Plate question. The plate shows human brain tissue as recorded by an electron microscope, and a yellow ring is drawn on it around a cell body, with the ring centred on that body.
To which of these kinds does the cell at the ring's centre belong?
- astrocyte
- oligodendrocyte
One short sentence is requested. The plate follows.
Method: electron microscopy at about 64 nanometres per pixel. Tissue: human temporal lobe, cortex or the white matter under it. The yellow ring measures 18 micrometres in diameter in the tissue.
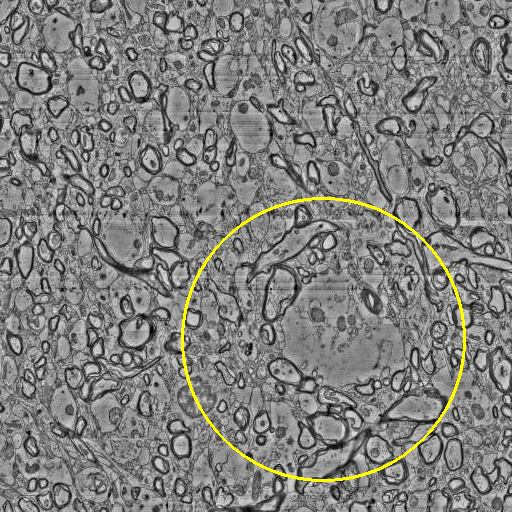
The cell at the ring's centre is an astrocyte.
